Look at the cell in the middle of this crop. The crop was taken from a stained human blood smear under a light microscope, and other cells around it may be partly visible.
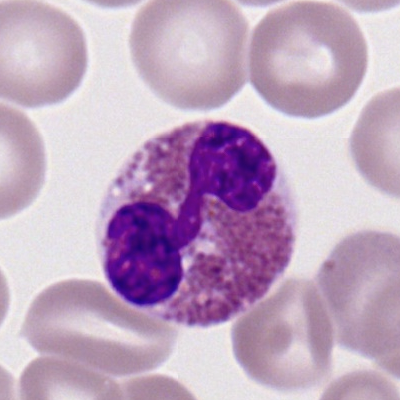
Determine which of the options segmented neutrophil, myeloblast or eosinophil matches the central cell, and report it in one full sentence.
The cell at the central position in this crop is an eosinophil.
